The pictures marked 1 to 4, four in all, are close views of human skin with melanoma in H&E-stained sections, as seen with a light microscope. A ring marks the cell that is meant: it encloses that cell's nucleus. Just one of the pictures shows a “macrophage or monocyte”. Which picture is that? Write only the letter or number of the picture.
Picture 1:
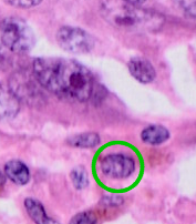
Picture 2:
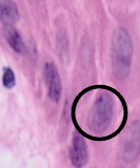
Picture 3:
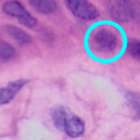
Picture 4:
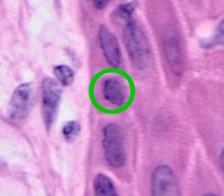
1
